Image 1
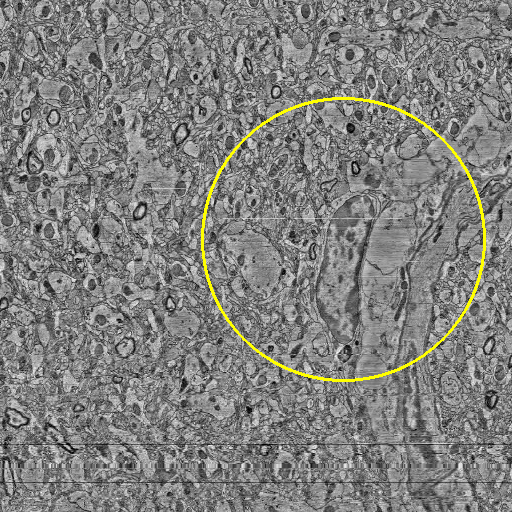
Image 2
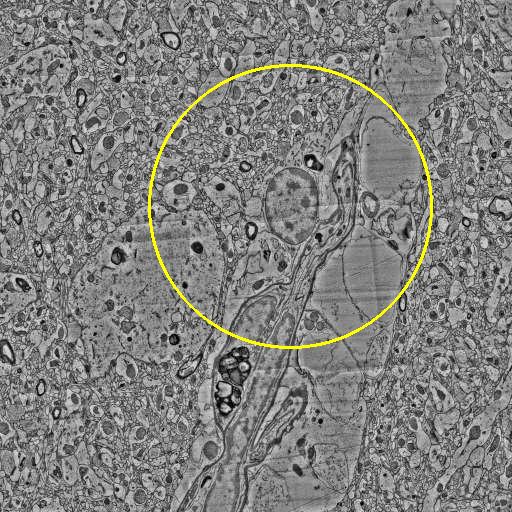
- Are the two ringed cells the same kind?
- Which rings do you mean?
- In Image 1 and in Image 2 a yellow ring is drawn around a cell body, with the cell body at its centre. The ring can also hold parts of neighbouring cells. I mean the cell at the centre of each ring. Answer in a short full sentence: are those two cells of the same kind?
Yes, both cells are of the same kind.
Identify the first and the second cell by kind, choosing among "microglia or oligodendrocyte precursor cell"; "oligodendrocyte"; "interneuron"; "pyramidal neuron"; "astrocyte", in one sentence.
Each of the two pictures has a microglial cell or oligodendrocyte precursor cell at the ring centre.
